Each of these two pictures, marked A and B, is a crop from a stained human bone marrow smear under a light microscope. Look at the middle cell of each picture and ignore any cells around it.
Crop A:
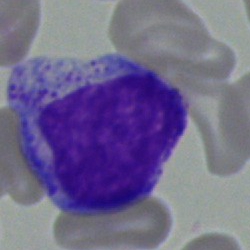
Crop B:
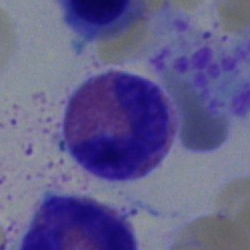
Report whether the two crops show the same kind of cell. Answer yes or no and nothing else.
no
